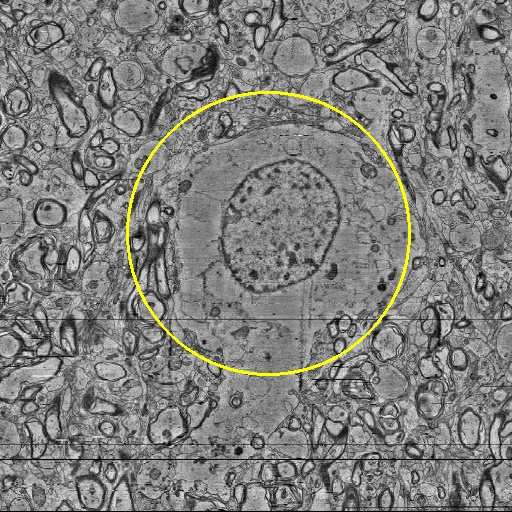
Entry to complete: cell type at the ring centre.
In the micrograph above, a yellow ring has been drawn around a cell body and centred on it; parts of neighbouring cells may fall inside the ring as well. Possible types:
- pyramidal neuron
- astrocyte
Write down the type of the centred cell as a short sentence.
The ring is centred on an astrocyte.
